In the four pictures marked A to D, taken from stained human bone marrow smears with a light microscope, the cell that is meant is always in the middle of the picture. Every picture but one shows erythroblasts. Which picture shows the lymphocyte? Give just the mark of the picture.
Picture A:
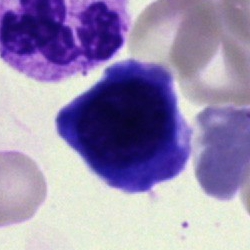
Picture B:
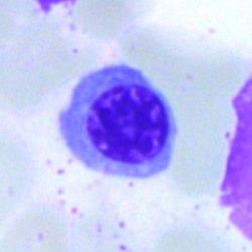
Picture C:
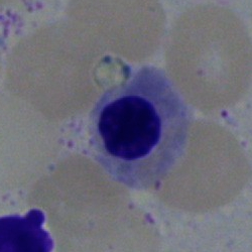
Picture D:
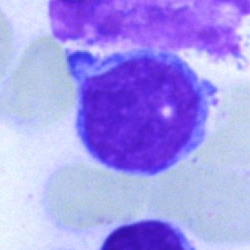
D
